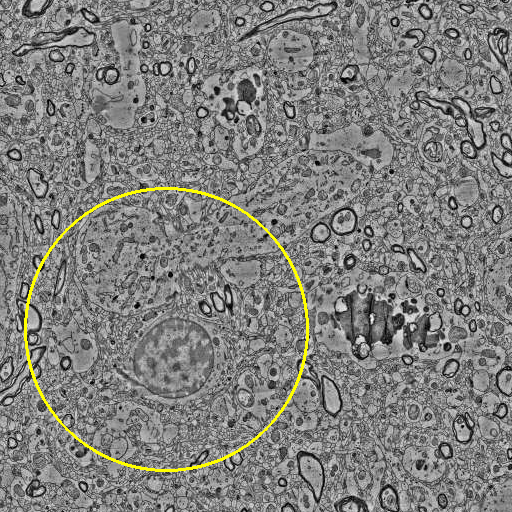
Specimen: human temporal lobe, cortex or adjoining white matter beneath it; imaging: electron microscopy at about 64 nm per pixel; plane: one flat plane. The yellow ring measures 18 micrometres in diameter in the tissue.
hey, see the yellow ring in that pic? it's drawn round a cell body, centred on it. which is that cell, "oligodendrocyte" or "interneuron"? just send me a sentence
The cell in the ring is an oligodendrocyte.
